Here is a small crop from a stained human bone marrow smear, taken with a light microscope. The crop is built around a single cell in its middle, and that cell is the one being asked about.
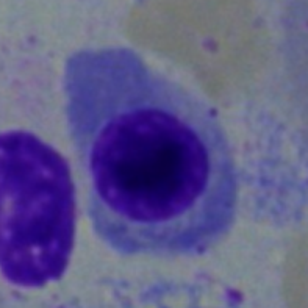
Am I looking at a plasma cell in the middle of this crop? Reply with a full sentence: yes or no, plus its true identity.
No, the centrally located cell is an erythroblast rather than a plasma cell.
